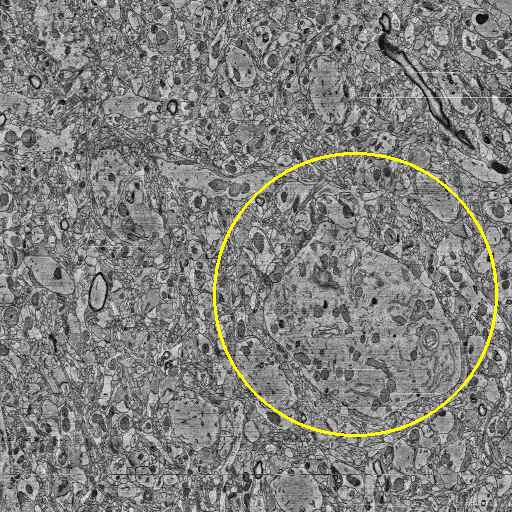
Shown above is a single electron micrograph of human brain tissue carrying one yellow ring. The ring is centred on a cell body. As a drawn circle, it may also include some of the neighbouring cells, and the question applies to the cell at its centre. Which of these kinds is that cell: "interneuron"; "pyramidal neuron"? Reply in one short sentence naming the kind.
The cell marked by the ring is an interneuron.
